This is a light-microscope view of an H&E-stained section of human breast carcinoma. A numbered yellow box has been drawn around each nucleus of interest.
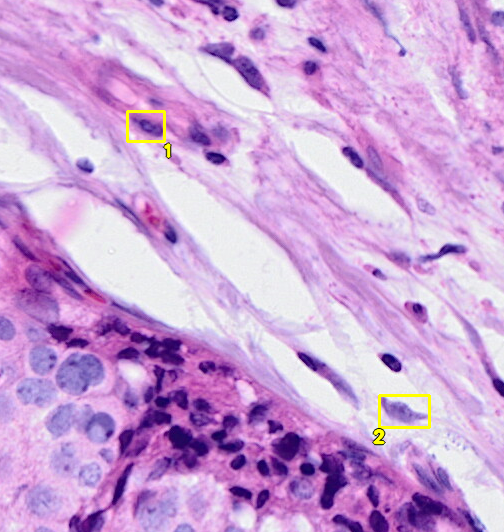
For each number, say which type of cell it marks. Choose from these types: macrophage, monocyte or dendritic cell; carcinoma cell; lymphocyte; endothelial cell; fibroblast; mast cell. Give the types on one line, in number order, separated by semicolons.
endothelial cell; fibroblast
